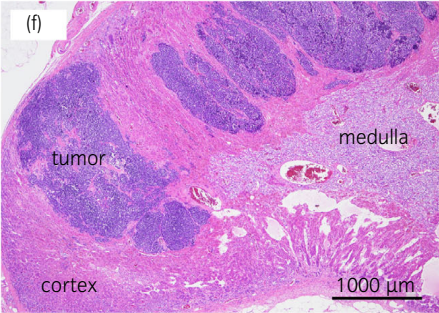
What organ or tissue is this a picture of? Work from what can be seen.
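A pink outer cortex with radially arranged cords surrounds a paler central medulla containing large vessels. Dark blue tumour nodules sit within the cortex. The answer: adrenal gland.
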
